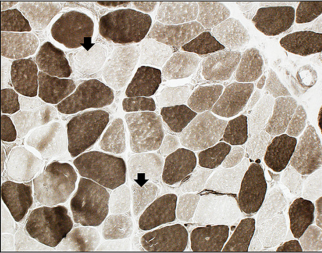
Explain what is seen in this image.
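This is a cross-section of skeletal muscle fibres arranged in a checkerboard of dark brown, light brown and intermediate grey-brown fibres. The arrowed fibres are among the pale fibres. Fibres differ in size and some are rounded, with thin pale spaces separating them.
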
